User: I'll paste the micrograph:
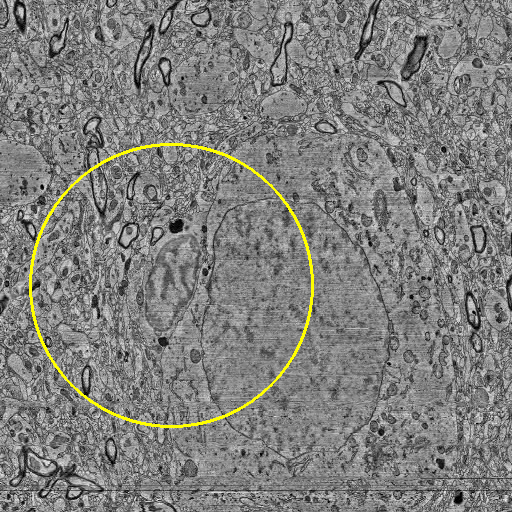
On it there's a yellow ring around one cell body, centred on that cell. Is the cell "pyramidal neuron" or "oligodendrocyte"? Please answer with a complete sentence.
The cell ringed in yellow is an oligodendrocyte.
